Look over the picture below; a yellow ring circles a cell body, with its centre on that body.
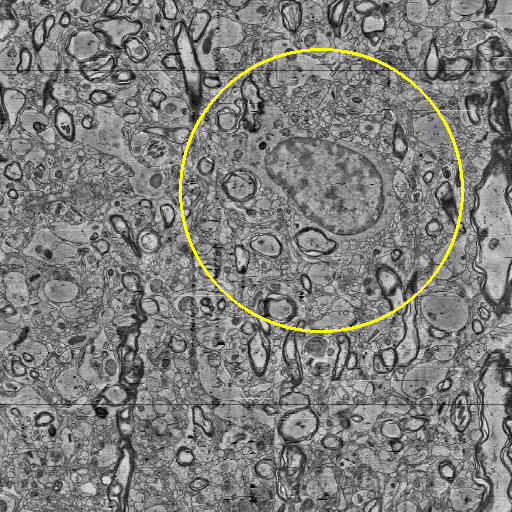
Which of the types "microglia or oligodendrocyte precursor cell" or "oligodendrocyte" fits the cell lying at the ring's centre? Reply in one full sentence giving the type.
The picture shows an oligodendrocyte at the centre of the yellow ring.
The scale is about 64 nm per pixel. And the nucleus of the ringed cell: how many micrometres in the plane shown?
In this plane the nucleus is clearly longer than it is wide, at approximately 8 by 5 micrometres.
